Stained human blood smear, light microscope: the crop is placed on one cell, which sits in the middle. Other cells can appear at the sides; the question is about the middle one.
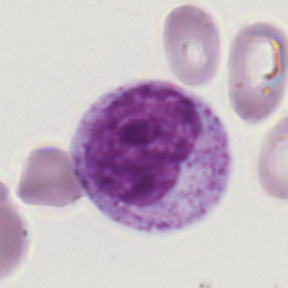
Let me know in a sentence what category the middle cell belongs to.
As for the cell in the middle, it is a metamyelocyte.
